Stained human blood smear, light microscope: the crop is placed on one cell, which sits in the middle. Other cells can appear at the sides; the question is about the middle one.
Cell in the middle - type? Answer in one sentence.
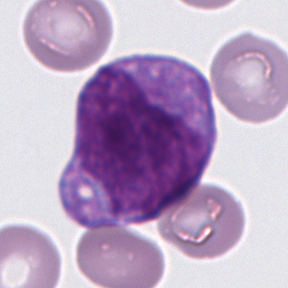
The cell in the middle of this crop is an atypical promyelocyte.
